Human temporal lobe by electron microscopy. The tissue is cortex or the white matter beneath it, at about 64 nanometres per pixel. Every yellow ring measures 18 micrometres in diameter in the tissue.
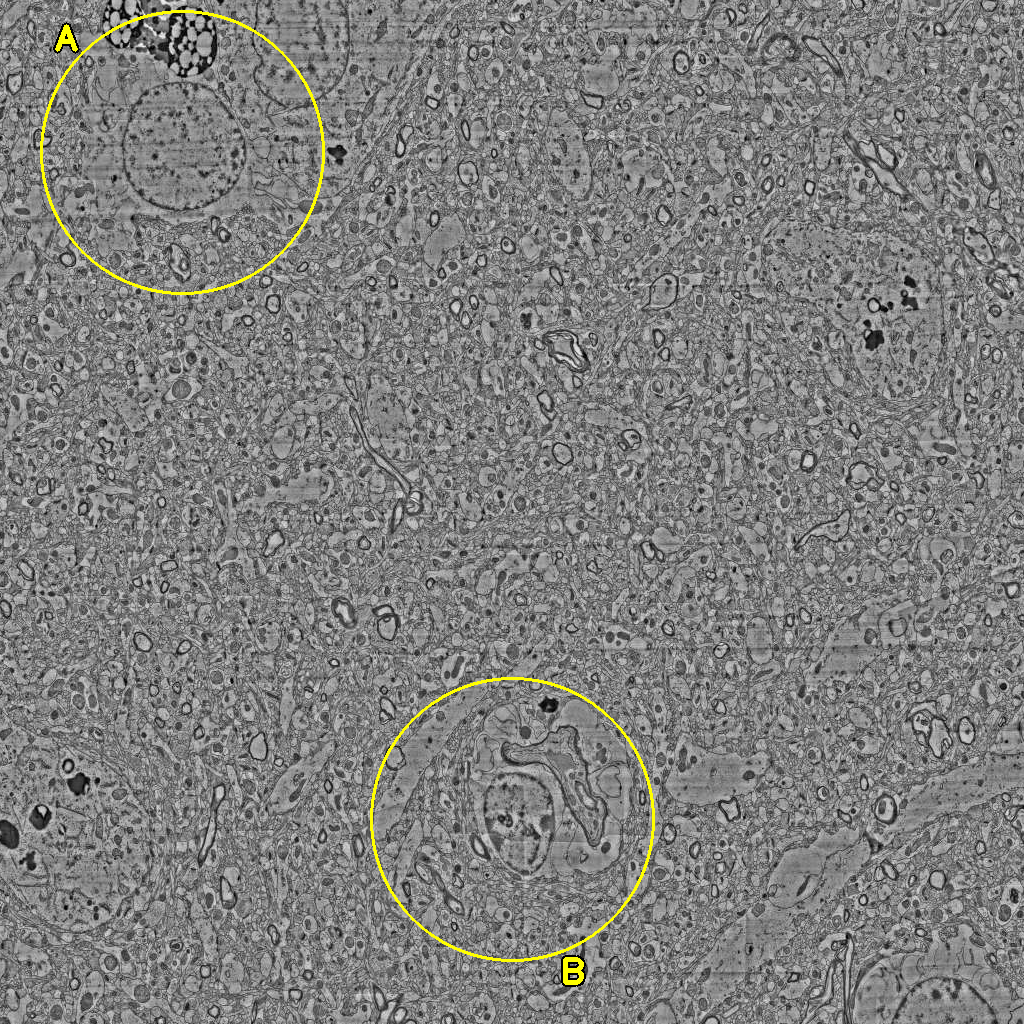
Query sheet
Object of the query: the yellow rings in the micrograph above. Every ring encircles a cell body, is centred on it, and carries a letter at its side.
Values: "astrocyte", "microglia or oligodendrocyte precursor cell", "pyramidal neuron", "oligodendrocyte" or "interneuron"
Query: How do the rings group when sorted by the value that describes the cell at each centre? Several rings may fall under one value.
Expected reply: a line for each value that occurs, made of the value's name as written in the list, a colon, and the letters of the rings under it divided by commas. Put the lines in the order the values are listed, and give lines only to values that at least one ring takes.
astrocyte: A
microglia or oligodendrocyte precursor cell: B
